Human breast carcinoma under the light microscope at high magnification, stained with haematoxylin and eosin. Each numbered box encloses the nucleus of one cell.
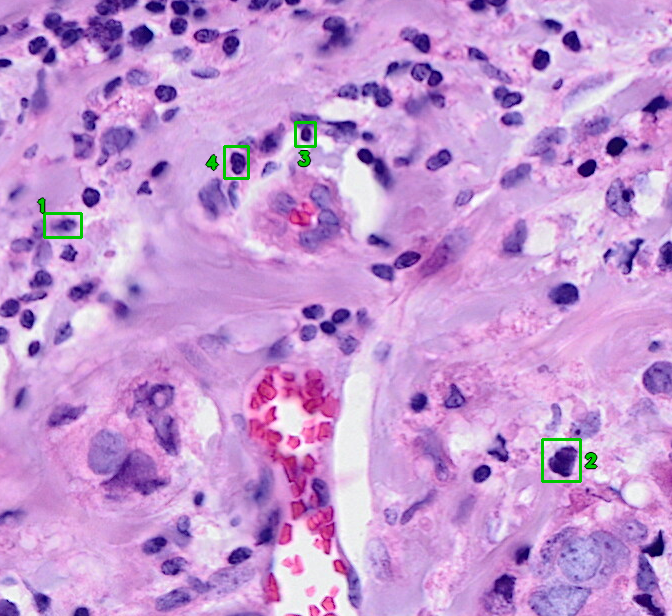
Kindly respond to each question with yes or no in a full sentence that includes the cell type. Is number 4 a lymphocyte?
Yes, the cell that goes by number 4 is a lymphocyte.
